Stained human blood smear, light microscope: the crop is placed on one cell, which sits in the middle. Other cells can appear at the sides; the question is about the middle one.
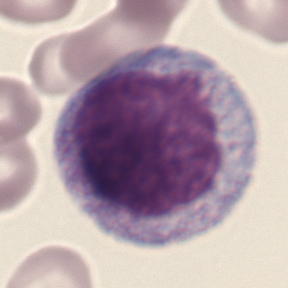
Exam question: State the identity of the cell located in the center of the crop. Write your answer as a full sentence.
Located at the centre of the crop is a promyelocyte.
